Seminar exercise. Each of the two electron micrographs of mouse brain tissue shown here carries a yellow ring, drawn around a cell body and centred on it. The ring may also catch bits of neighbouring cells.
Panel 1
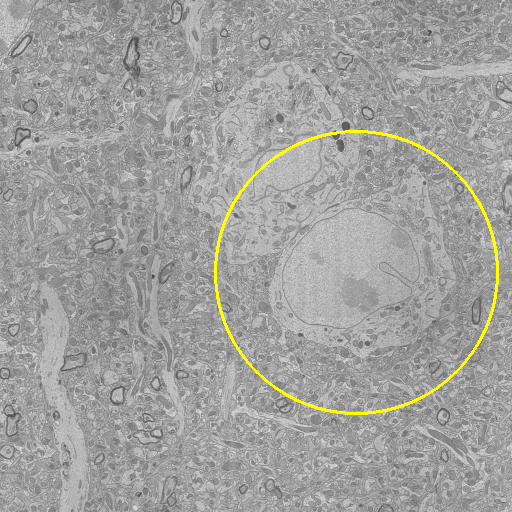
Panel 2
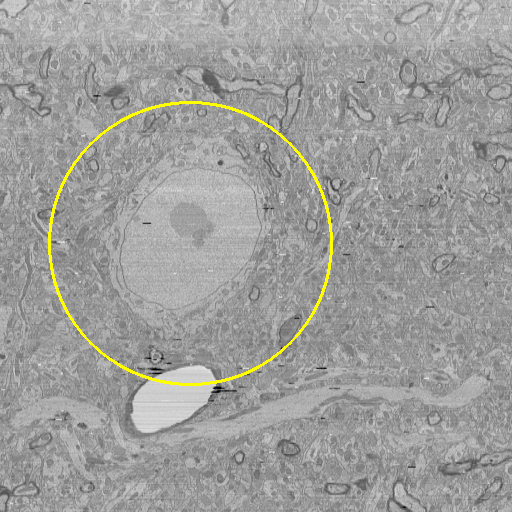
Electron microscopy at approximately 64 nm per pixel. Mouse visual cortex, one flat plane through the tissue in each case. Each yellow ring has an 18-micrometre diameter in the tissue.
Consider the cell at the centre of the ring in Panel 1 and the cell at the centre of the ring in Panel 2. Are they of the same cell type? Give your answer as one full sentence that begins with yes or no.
Yes, both cells are of the same type.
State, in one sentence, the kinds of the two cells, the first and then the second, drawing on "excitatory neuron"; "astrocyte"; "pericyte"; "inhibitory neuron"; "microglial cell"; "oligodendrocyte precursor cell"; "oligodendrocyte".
Each of the two rings surrounds an excitatory neuron.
